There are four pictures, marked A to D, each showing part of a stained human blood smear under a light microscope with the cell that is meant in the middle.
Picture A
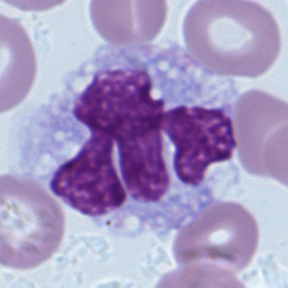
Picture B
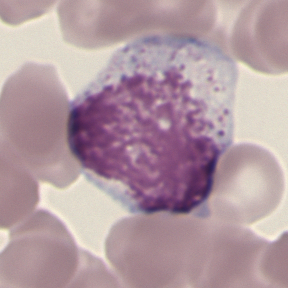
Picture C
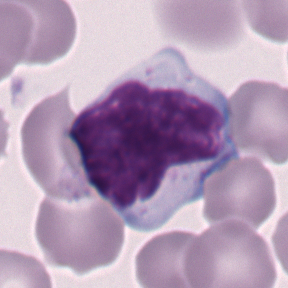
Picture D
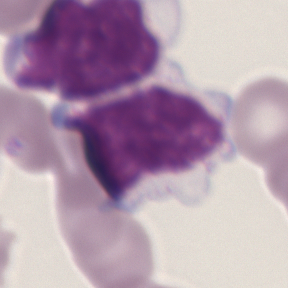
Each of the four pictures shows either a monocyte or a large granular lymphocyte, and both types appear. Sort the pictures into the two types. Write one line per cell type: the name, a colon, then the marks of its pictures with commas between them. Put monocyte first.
monocyte: A
large granular lymphocyte: B, C, D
